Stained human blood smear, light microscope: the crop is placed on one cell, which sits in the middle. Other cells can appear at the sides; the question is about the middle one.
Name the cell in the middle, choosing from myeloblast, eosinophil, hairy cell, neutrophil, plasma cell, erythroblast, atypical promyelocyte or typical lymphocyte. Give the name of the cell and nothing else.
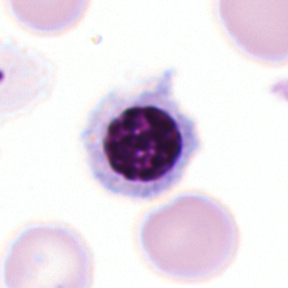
erythroblast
